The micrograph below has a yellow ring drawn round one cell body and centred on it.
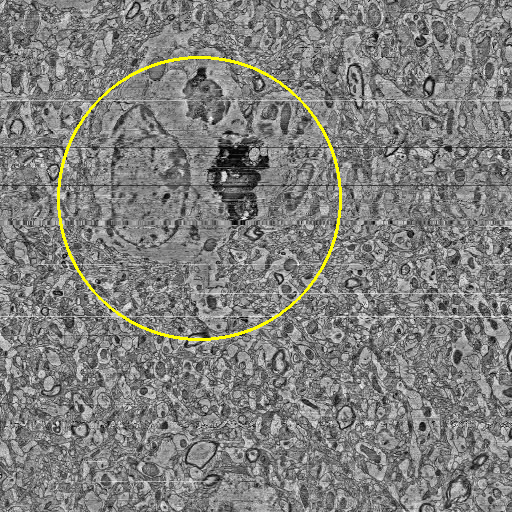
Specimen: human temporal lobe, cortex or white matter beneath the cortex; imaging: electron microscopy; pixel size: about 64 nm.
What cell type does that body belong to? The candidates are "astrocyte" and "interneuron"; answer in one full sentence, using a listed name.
This is an astrocyte, the cell whose body lies at the centre of the ring.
